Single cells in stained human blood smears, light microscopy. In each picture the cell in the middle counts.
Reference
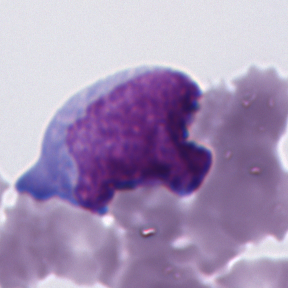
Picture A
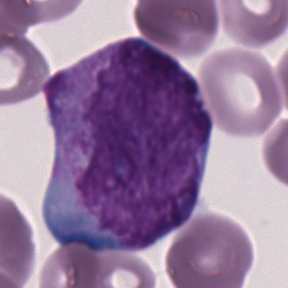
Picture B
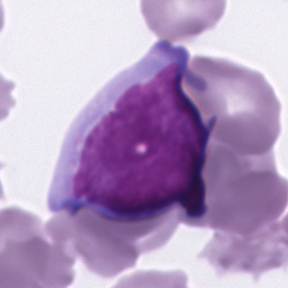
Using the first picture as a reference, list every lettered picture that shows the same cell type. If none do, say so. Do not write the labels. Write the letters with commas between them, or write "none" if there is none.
B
